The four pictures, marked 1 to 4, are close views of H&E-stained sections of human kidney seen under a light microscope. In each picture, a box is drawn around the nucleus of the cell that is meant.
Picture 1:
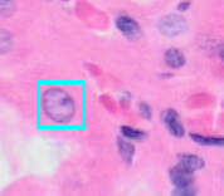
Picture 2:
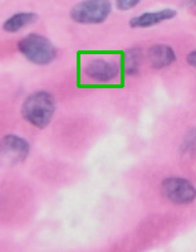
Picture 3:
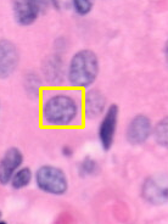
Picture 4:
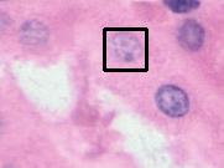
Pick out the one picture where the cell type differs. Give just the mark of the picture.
3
